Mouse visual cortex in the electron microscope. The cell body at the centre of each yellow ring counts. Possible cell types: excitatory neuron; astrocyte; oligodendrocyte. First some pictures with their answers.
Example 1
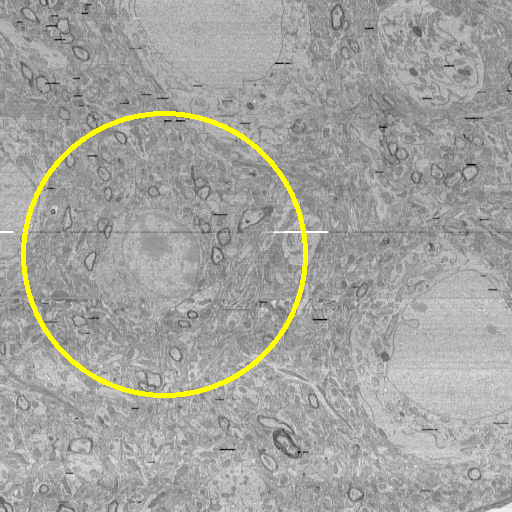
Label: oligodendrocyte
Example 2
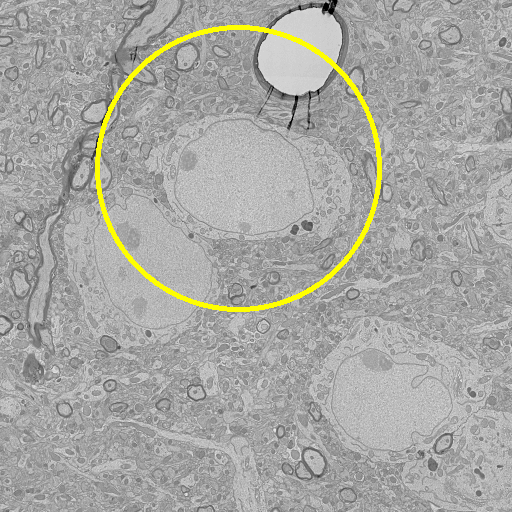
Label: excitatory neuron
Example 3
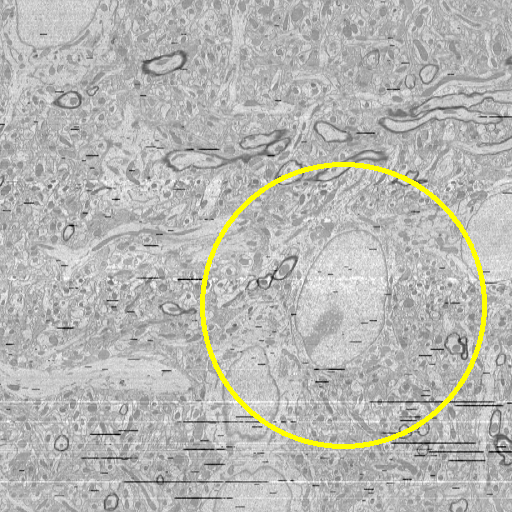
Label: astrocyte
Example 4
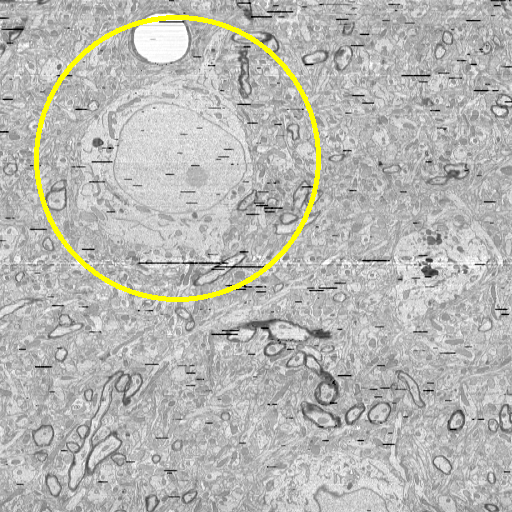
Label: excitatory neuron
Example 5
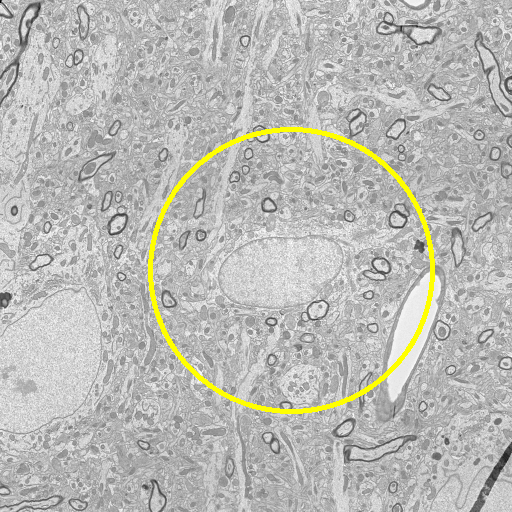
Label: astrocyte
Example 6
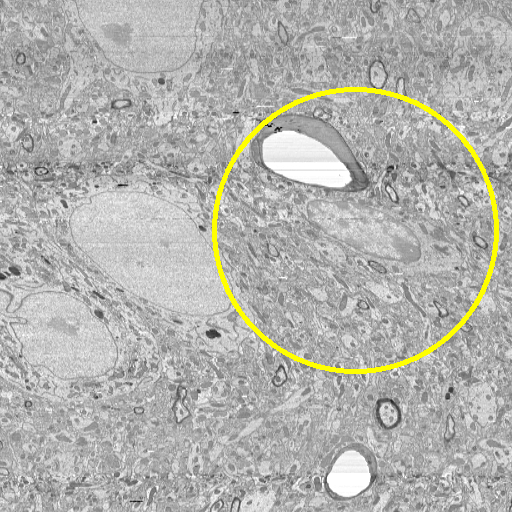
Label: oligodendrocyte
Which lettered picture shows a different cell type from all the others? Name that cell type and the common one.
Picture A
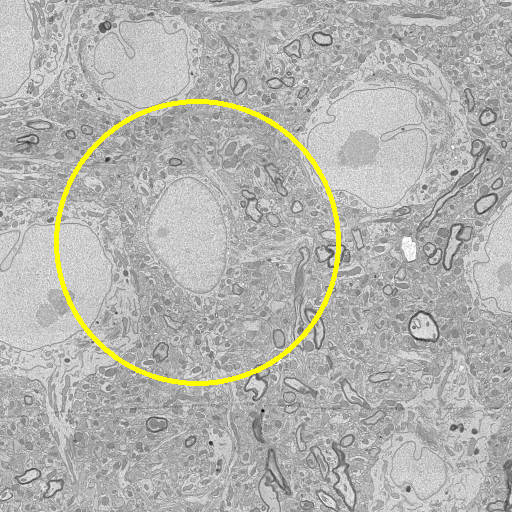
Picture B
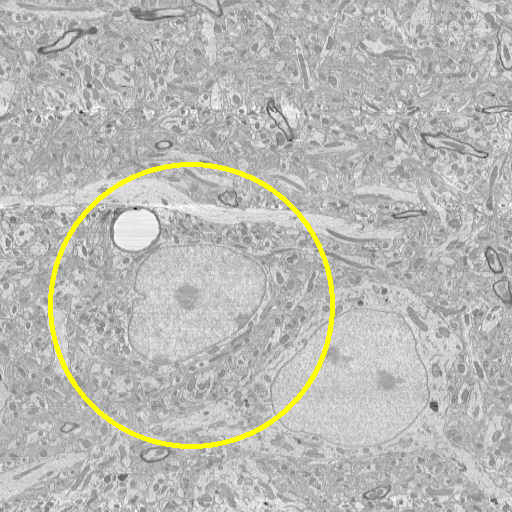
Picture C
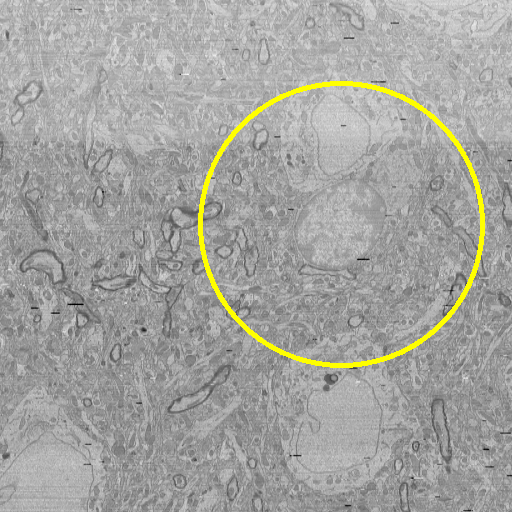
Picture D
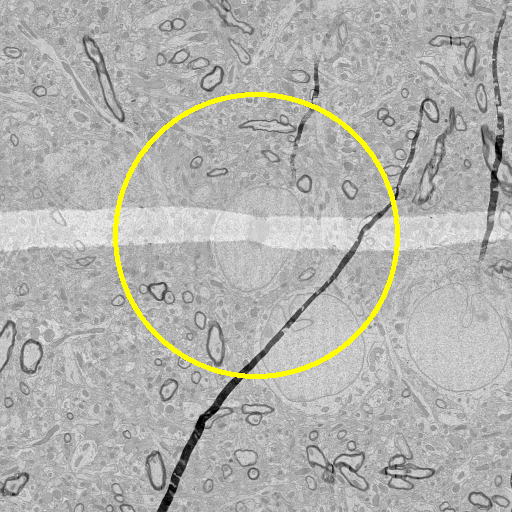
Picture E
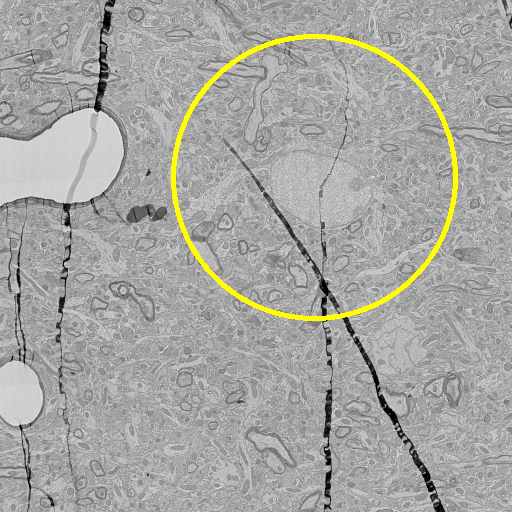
C (oligodendrocyte) is the exception; every other picture is astrocyte.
